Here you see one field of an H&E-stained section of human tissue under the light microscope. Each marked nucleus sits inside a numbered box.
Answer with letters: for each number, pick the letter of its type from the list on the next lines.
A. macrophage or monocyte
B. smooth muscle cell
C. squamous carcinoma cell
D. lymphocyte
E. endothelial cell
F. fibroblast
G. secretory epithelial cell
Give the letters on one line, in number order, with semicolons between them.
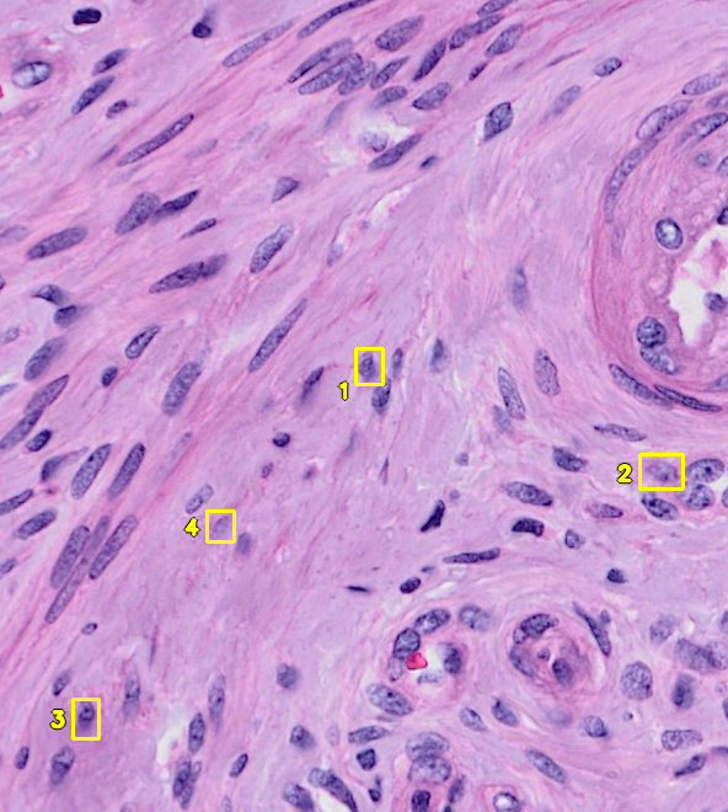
F; E; B; B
